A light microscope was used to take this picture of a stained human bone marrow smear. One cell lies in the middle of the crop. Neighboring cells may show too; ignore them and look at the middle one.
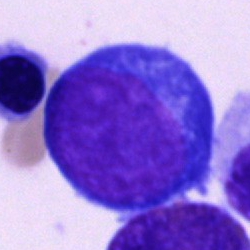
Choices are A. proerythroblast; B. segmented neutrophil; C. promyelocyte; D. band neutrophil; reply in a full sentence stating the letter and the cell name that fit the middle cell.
The middle of the crop contains a proerythroblast, so option A is right.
